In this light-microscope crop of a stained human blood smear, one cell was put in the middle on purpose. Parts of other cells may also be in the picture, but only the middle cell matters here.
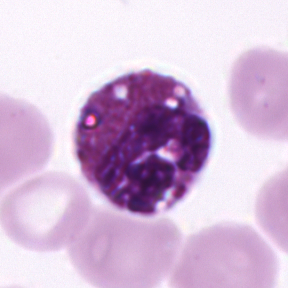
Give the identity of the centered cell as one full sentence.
Located at the centre of the crop is an eosinophil.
